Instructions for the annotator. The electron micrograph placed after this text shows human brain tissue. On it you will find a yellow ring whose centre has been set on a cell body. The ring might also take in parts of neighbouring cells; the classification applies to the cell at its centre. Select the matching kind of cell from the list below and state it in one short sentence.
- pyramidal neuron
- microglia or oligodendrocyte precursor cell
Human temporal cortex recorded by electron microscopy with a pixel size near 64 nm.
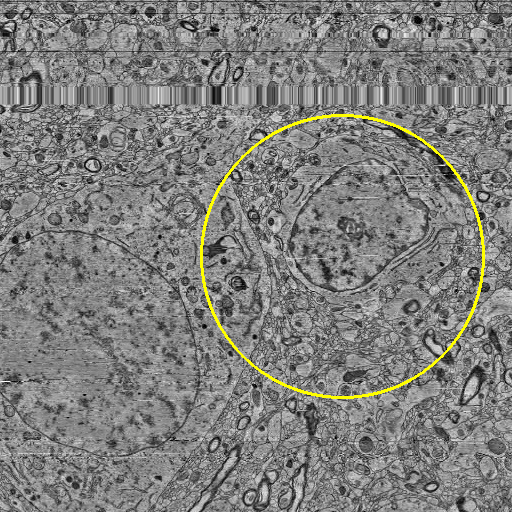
The ring is drawn on the cell body of a microglial cell or oligodendrocyte precursor cell.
